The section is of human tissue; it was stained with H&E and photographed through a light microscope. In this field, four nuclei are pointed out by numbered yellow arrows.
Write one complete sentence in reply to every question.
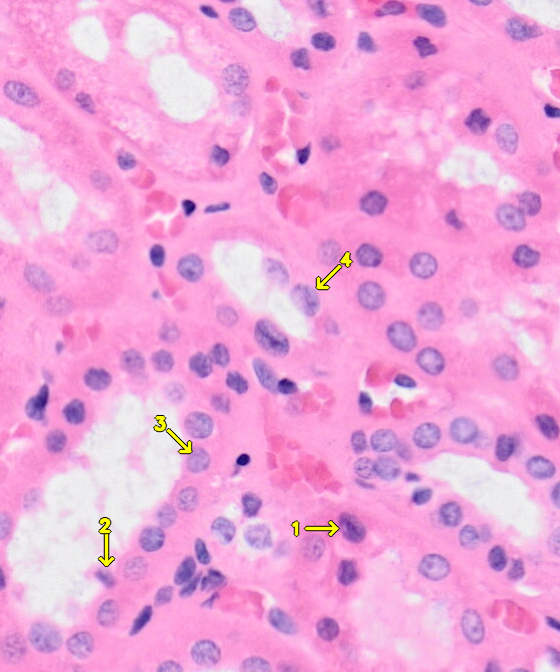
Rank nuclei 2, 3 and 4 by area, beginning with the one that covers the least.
Smallest first, the nuclei run 2, 3, 4.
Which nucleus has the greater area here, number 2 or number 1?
Nucleus 1 is larger, with an area about 2 times that of nucleus 2.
